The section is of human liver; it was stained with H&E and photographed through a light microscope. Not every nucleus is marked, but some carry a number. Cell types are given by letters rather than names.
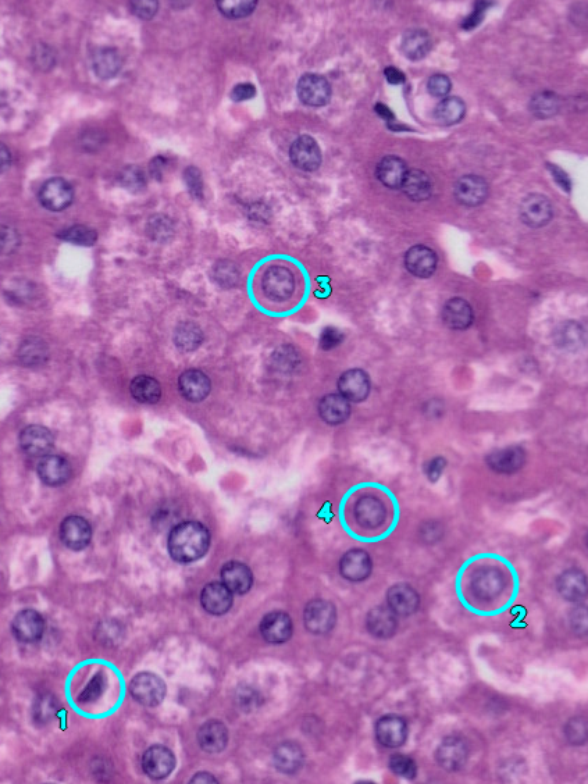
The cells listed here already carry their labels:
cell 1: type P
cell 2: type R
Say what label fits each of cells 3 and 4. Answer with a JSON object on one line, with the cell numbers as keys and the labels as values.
{"3": "type R", "4": "type R"}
